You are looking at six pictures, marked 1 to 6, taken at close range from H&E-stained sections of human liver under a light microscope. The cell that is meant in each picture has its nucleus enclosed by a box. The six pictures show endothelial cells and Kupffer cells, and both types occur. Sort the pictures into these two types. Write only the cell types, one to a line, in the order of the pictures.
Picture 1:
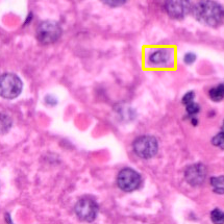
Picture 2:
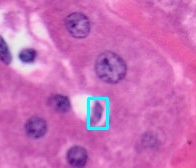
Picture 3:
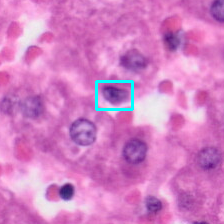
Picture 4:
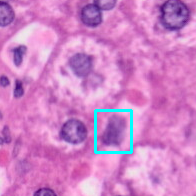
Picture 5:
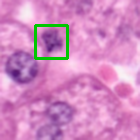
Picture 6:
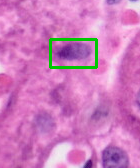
Kupffer cell
endothelial cell
Kupffer cell
endothelial cell
endothelial cell
Kupffer cell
